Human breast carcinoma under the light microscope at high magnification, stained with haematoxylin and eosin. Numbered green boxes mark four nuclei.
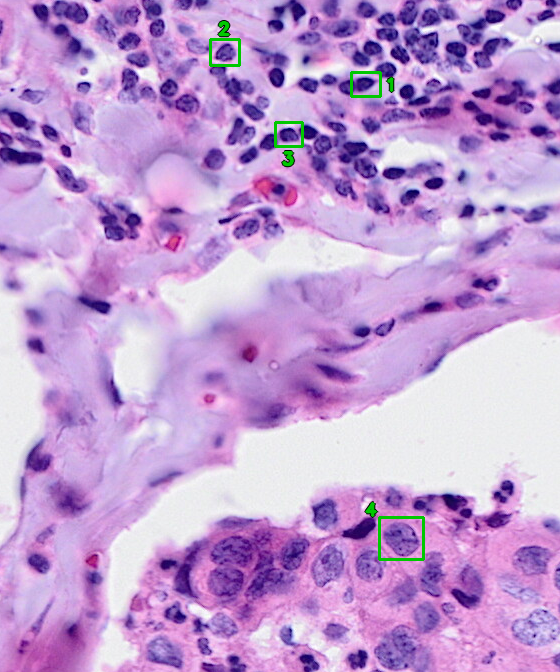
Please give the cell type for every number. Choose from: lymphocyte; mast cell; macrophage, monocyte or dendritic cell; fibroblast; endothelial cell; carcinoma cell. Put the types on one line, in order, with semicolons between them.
lymphocyte; lymphocyte; lymphocyte; carcinoma cell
